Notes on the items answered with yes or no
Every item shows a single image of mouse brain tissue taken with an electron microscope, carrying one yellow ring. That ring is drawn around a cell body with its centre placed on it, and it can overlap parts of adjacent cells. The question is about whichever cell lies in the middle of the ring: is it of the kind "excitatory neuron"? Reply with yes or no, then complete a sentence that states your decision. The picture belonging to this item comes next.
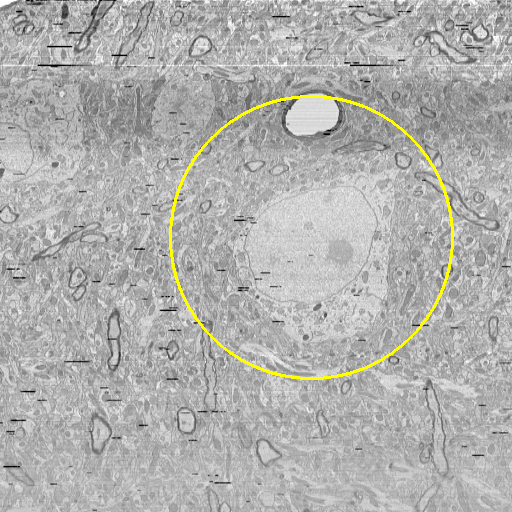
Yes, this micrograph shows a cell of that kind in the middle of the ring.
